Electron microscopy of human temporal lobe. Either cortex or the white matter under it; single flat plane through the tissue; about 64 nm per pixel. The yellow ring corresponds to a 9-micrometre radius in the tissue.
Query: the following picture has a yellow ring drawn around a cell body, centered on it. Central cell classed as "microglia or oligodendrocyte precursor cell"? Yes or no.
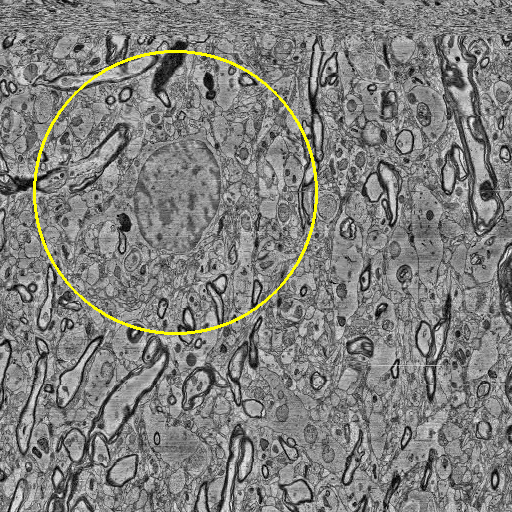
no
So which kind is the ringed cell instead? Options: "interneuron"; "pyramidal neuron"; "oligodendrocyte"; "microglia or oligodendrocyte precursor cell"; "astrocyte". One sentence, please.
At the centre of the ring sits an oligodendrocyte.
